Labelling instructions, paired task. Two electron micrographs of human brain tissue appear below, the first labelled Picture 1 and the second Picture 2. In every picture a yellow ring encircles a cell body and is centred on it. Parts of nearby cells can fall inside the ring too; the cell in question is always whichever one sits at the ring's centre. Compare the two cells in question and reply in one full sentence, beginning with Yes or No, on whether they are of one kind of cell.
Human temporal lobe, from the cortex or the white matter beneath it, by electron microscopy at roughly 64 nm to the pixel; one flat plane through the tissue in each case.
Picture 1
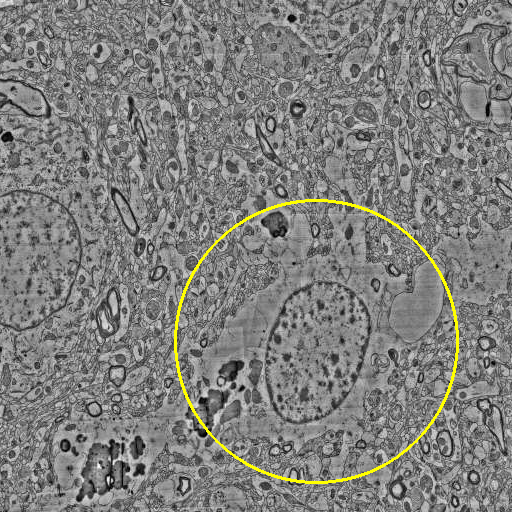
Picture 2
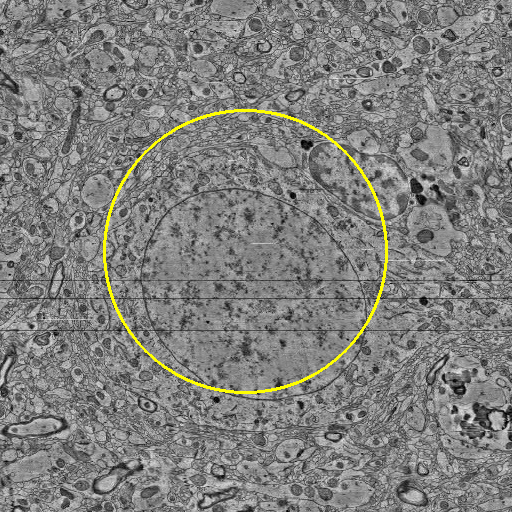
No, the two cells at the ring centres in Picture 1 and Picture 2 are of two kinds.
